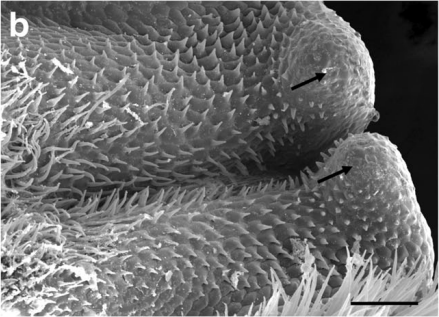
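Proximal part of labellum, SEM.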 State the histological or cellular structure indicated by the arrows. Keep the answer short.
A: projections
